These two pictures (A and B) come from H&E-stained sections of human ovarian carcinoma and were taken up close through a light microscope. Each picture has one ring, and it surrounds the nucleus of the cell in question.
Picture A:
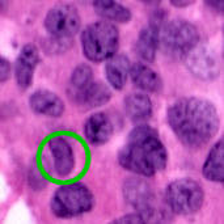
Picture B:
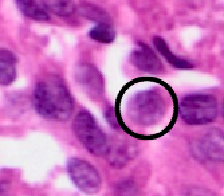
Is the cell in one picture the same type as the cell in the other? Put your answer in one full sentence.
Yes, both are carcinoma cells.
